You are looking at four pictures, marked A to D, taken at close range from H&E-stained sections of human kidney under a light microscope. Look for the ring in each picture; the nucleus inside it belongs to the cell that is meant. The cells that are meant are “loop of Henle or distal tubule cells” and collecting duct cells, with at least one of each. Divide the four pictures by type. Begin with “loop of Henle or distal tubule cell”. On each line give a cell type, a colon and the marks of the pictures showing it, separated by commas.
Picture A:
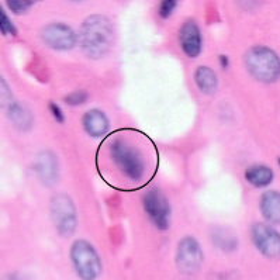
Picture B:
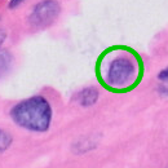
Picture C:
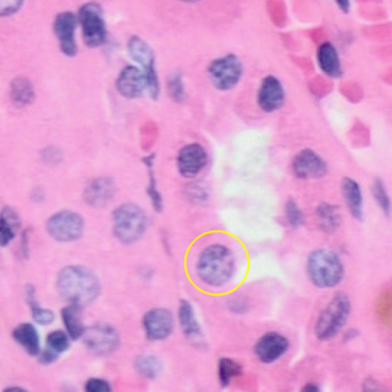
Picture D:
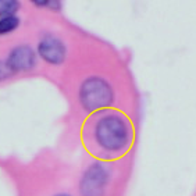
loop of Henle or distal tubule cell: B, C
collecting duct cell: A, D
